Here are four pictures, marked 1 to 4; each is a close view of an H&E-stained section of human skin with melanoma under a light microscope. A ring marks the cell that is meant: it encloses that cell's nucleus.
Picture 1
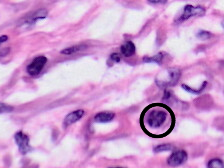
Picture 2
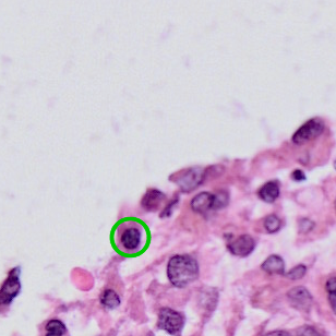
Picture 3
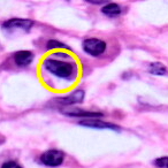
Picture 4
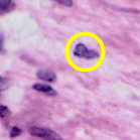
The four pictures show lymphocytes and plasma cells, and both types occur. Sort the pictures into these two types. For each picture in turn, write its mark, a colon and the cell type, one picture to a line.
1: plasma cell
2: plasma cell
3: plasma cell
4: lymphocyte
